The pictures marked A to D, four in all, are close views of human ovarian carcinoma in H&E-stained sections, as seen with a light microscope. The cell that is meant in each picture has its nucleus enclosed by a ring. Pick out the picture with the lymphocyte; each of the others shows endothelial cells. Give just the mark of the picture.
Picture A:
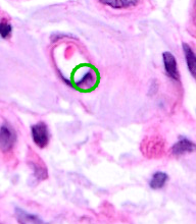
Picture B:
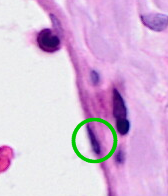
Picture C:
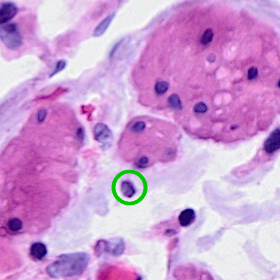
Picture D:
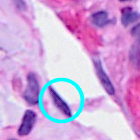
C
